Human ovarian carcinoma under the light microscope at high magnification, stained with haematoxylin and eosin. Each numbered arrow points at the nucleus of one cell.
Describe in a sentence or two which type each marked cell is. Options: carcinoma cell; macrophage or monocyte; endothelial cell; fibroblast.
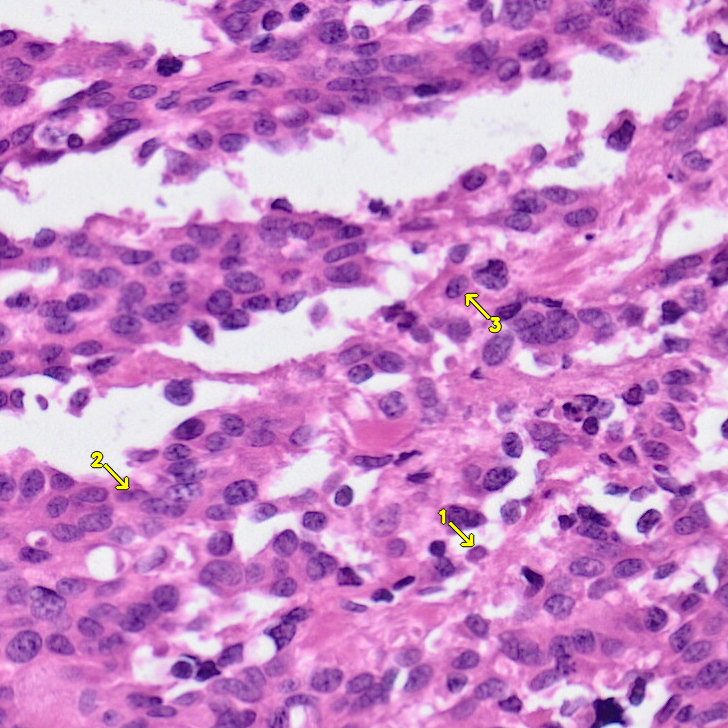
Cells 1 and 2 are carcinoma cells. Cell 3 is a macrophage or monocyte.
